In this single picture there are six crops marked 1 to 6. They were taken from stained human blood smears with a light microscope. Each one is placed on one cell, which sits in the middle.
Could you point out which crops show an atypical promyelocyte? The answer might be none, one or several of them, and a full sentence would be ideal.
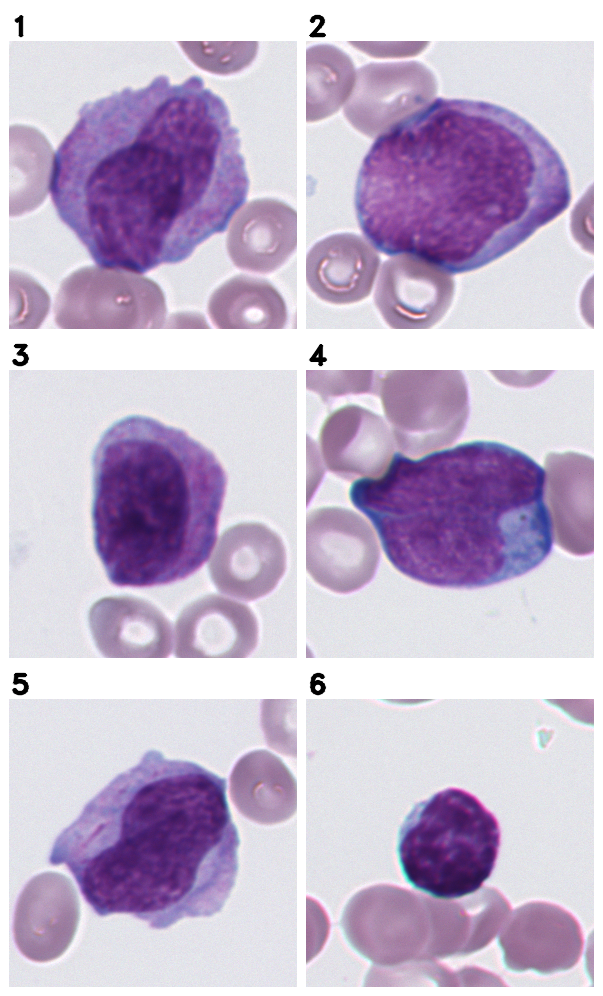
Shown at the centre of crops 1, 2, 3 and 5 are atypical promyelocytes.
